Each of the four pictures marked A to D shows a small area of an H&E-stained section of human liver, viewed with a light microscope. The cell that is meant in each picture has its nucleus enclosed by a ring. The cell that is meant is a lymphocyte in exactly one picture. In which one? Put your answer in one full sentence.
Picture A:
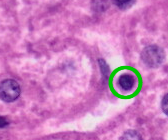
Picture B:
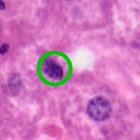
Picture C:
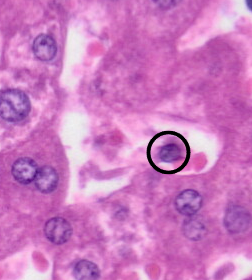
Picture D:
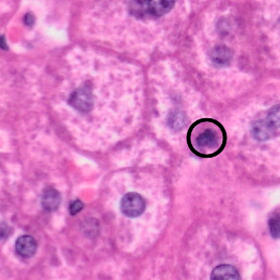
The lymphocyte is the one in picture A.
